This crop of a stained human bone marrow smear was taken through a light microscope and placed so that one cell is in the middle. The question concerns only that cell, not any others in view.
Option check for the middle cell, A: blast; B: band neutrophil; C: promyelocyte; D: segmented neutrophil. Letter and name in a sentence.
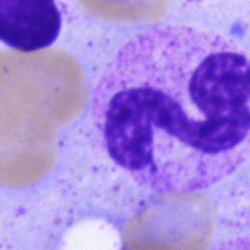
The cell shown centrally is a segmented neutrophil; option D is the correct option.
